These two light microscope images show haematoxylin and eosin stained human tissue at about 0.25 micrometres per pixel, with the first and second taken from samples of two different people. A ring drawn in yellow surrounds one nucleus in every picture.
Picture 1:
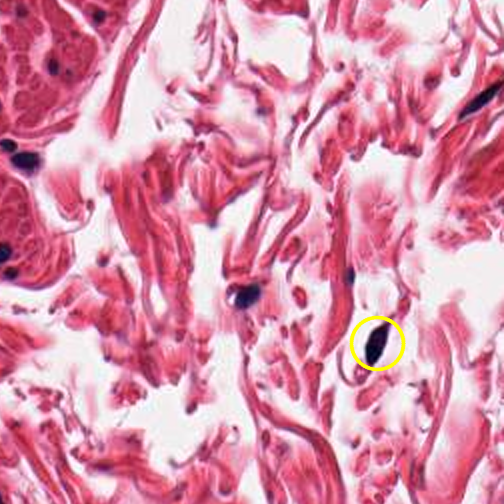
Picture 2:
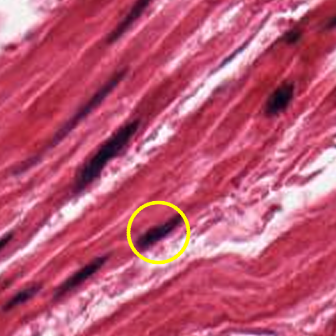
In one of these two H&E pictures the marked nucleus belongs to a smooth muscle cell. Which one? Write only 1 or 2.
2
